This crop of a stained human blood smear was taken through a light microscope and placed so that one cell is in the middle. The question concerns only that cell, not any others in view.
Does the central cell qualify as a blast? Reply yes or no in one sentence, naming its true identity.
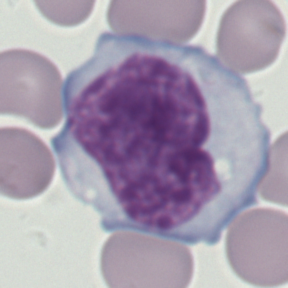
Yes, the identification of the central cell as a blast is correct.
